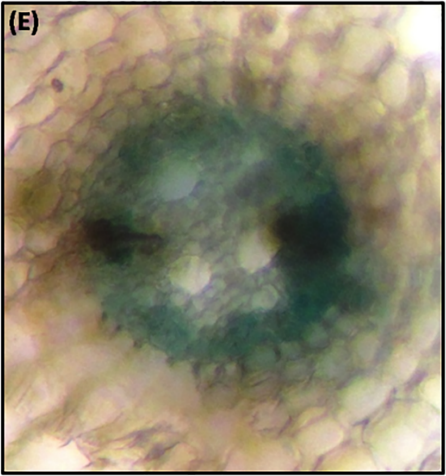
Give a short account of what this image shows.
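This close-up shows the central vascular cylinder of a root, with blue-stained vascular cells surrounded by unstained cortical parenchyma. The stained region forms a roughly circular zone of small, densely packed cells. Within it lie a few larger, open, rounded lumens that appear as pale holes. Two dark brownish spots sit on opposite sides within the stained zone. Around the cylinder, large pale polygonal parenchyma cells with thin purplish walls fill the field.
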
